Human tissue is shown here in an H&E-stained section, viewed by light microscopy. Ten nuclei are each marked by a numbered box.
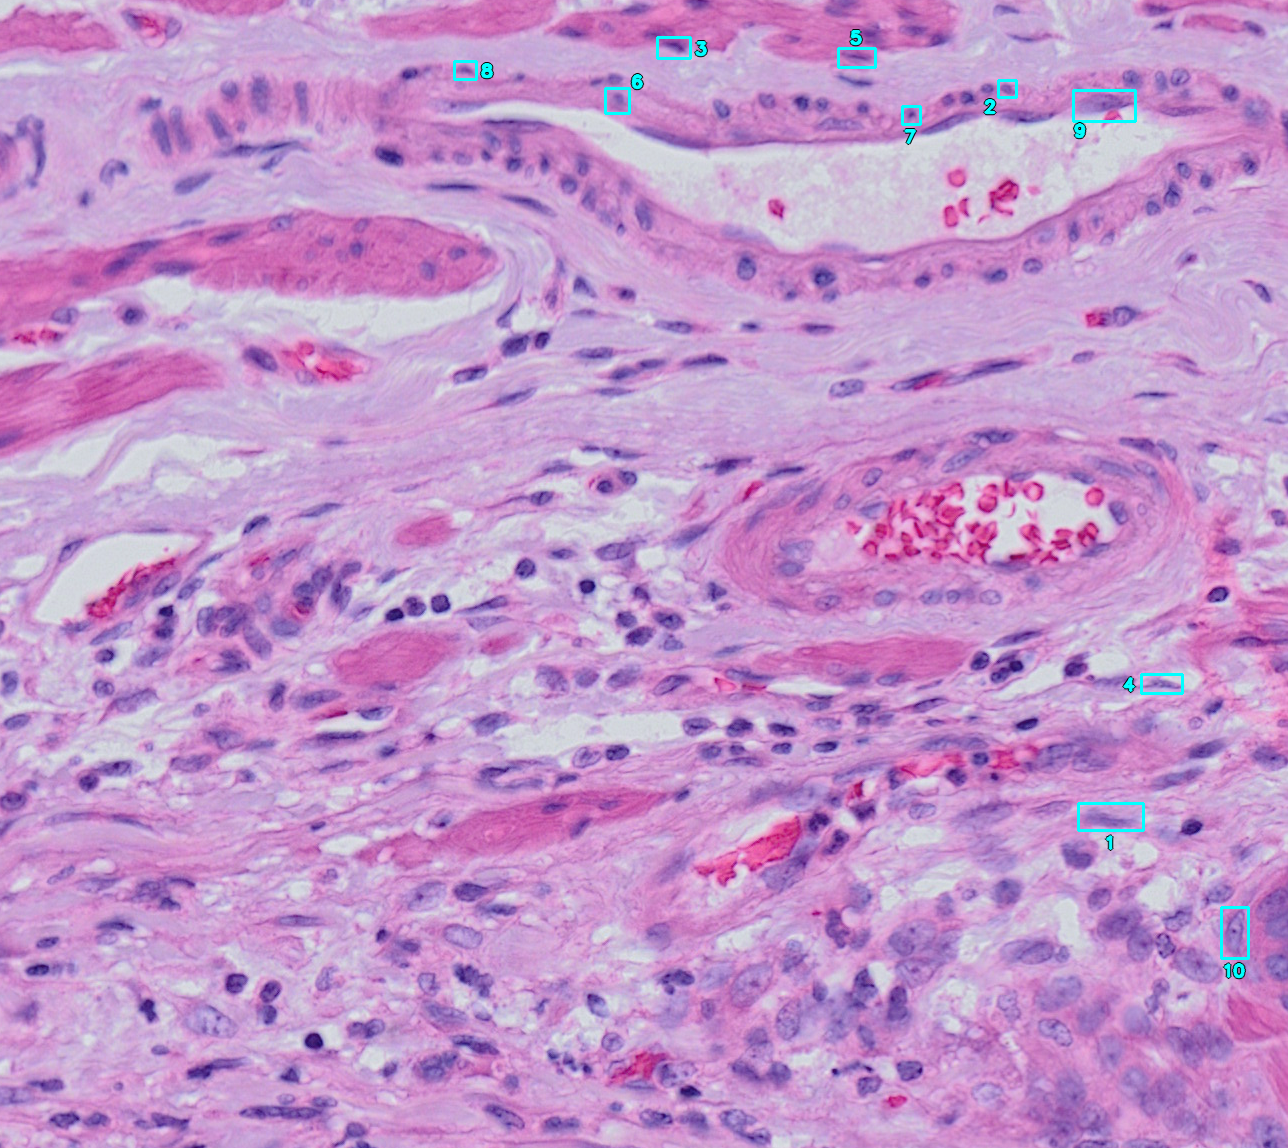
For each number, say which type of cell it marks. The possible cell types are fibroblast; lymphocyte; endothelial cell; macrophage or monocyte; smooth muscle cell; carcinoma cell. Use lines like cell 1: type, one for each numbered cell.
cell 1: fibroblast
cell 2: smooth muscle cell
cell 3: smooth muscle cell
cell 4: fibroblast
cell 5: smooth muscle cell
cell 6: smooth muscle cell
cell 7: smooth muscle cell
cell 8: smooth muscle cell
cell 9: endothelial cell
cell 10: fibroblast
